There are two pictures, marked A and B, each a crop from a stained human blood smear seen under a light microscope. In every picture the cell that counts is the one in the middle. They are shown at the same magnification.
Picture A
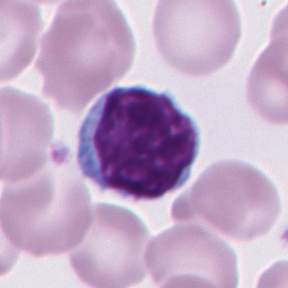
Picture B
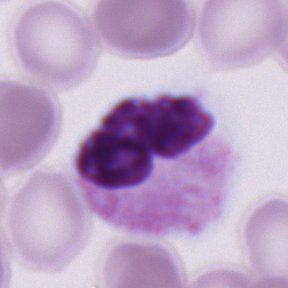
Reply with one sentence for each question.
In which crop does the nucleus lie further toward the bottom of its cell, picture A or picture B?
It is the nucleus in picture A that lies further toward the bottom of its cell.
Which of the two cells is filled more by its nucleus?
In picture A the nucleus takes up the larger part of its cell.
